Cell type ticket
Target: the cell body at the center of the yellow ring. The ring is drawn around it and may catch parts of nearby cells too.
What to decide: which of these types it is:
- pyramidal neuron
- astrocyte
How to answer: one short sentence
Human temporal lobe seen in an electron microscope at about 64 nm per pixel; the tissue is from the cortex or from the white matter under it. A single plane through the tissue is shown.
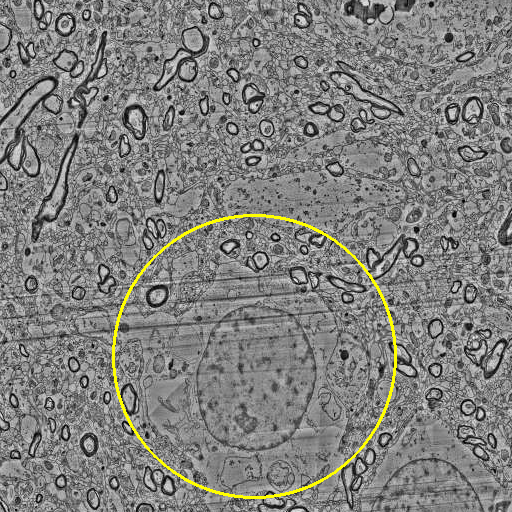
The cell at the center of the ring is an astrocyte.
